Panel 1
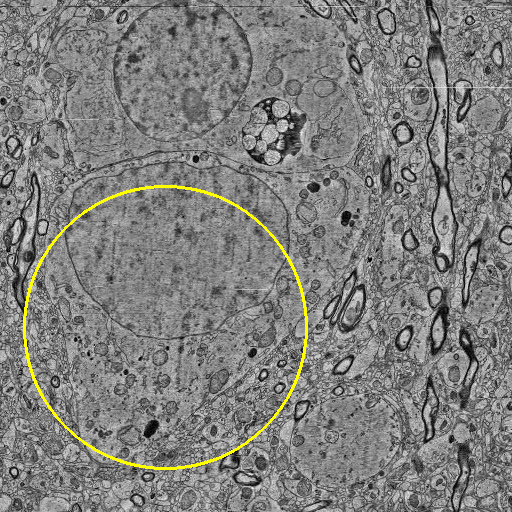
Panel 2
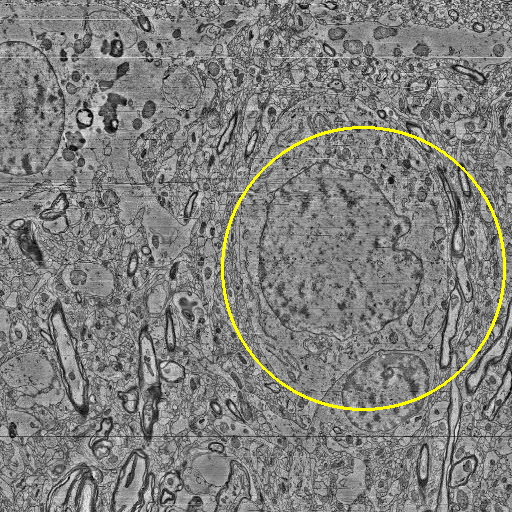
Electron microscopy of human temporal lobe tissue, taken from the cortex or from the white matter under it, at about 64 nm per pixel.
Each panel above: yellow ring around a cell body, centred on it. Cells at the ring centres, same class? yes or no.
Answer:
yes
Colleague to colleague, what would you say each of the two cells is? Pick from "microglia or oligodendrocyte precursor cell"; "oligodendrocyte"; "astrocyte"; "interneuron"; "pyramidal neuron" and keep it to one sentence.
Each of the two pictures has a pyramidal neuron at the ring centre.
